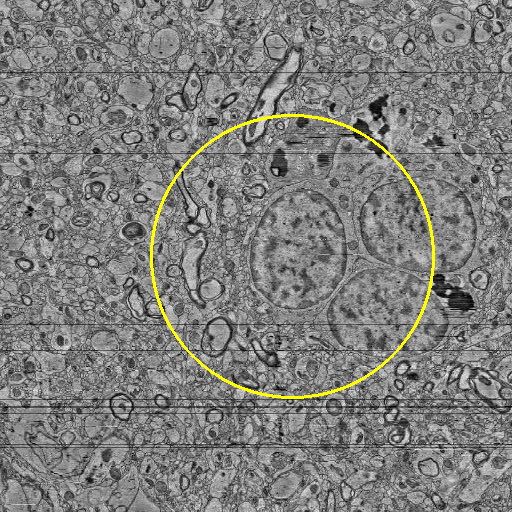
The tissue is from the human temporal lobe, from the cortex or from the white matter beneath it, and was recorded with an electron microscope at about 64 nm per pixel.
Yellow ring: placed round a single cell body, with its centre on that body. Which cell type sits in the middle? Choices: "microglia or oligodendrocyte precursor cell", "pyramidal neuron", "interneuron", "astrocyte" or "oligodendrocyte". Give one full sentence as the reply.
It is an oligodendrocyte whose cell body sits at the centre of the yellow ring.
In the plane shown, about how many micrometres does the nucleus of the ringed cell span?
In this plane the nucleus measures roughly 8 by 6 micrometers.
